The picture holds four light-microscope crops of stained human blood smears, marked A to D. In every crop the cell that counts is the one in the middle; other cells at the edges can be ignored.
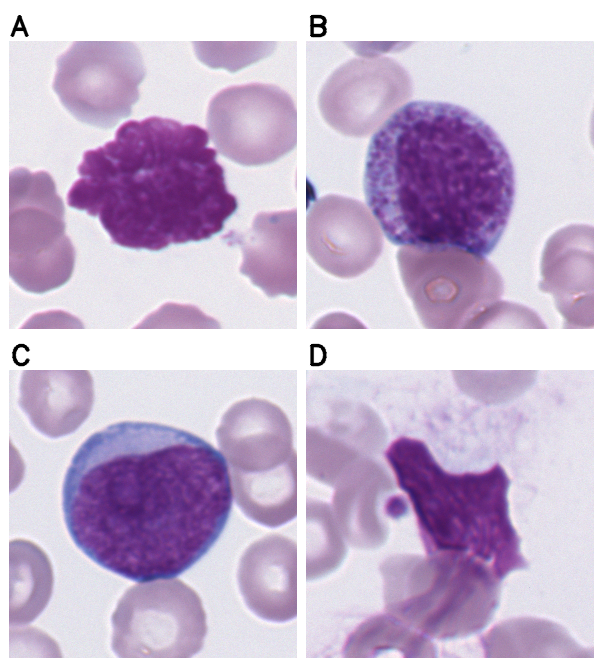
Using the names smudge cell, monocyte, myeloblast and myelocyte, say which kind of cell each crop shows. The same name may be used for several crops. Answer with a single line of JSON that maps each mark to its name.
{"A": "smudge cell", "B": "myelocyte", "C": "myeloblast", "D": "smudge cell"}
